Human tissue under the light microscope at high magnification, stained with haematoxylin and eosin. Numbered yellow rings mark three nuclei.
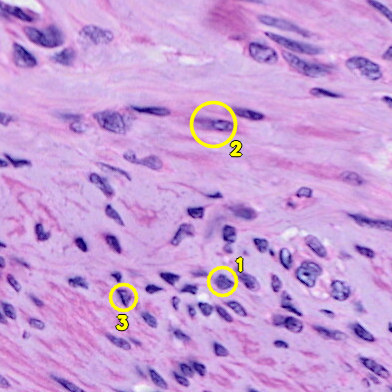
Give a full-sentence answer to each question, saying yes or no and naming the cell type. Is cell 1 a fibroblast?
Yes, with respect to number 1, the cell is a fibroblast.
